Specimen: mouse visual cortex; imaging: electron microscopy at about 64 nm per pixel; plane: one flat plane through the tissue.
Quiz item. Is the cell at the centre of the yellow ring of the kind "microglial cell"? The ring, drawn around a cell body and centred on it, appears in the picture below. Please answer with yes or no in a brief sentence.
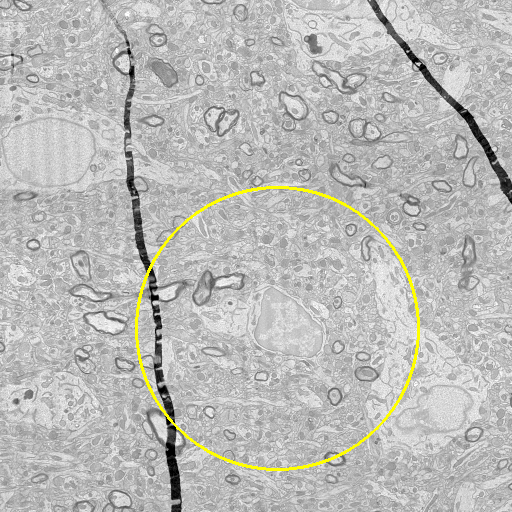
Yes, it is that kind of cell.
